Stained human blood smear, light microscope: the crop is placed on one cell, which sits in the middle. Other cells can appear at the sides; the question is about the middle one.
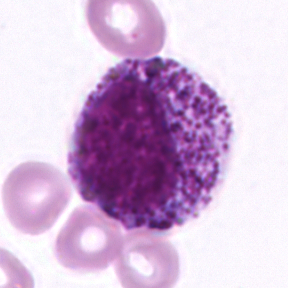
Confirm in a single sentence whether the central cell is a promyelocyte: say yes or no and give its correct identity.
No, what occupies the middle of the crop is a myelocyte and not a promyelocyte.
